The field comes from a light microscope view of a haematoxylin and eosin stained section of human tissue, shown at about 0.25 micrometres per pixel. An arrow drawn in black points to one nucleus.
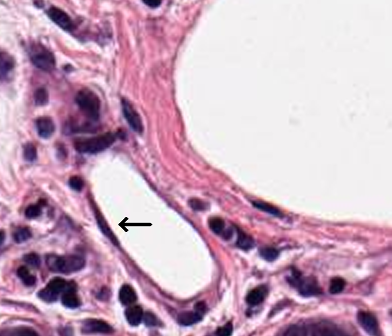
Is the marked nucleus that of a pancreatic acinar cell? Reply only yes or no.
no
